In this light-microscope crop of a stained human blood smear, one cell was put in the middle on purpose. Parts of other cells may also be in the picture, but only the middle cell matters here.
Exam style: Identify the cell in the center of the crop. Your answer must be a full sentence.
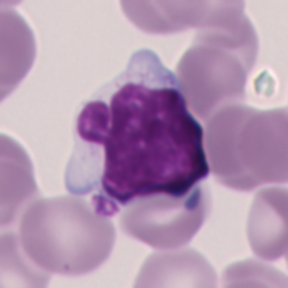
The cell marked by its central position in the crop is a large granular lymphocyte.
